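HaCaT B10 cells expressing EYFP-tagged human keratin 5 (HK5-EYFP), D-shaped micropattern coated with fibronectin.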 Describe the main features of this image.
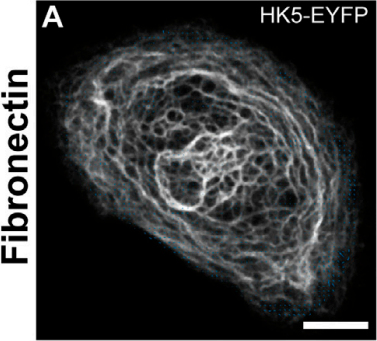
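This is a single cultured keratinocyte whose intermediate filament network is shown in white on a black background. The filaments form a dense, interconnected meshwork that fills the whole cell.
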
